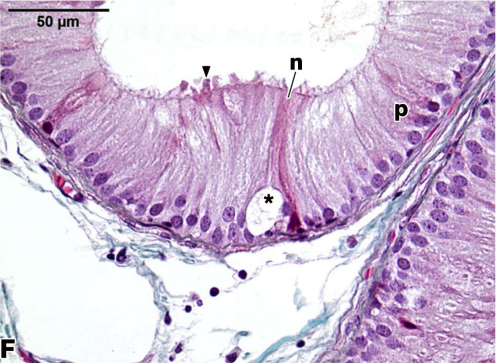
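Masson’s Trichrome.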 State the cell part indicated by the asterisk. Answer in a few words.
Vacuoles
